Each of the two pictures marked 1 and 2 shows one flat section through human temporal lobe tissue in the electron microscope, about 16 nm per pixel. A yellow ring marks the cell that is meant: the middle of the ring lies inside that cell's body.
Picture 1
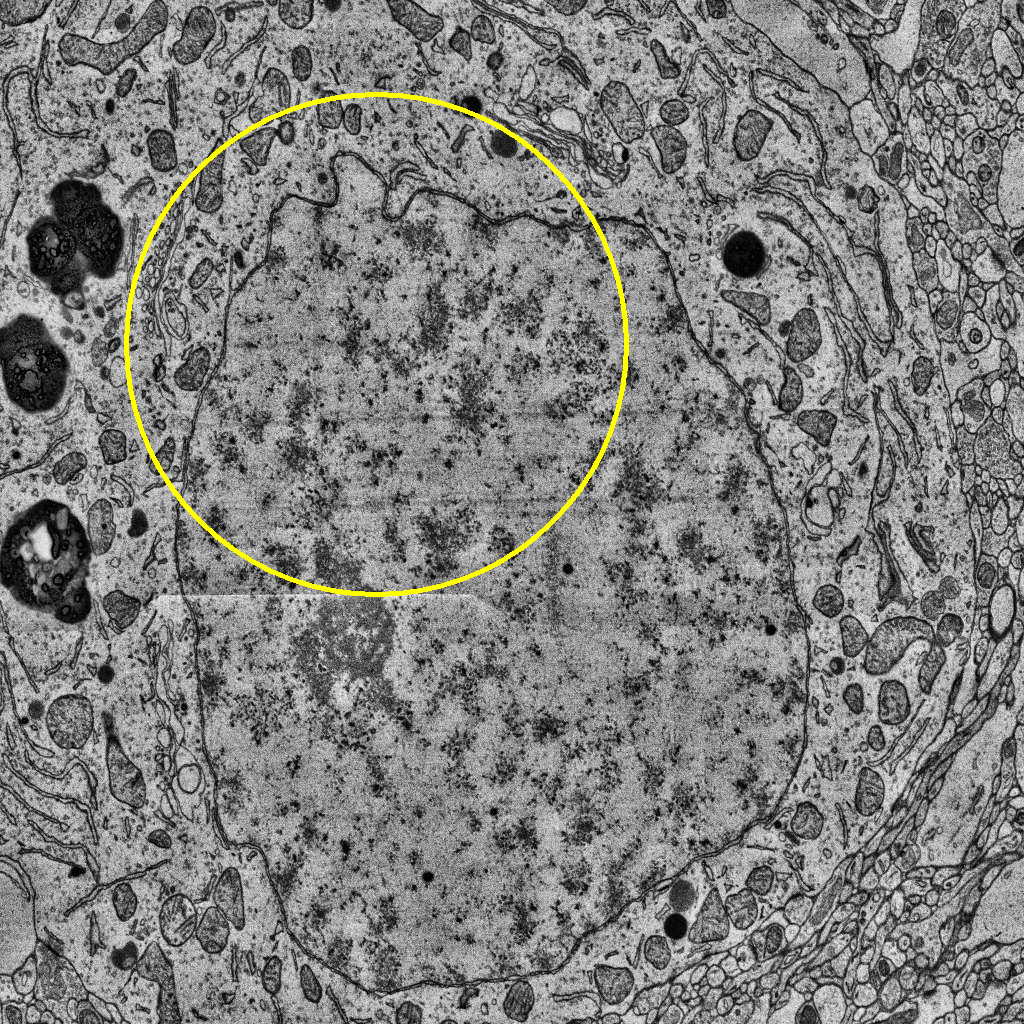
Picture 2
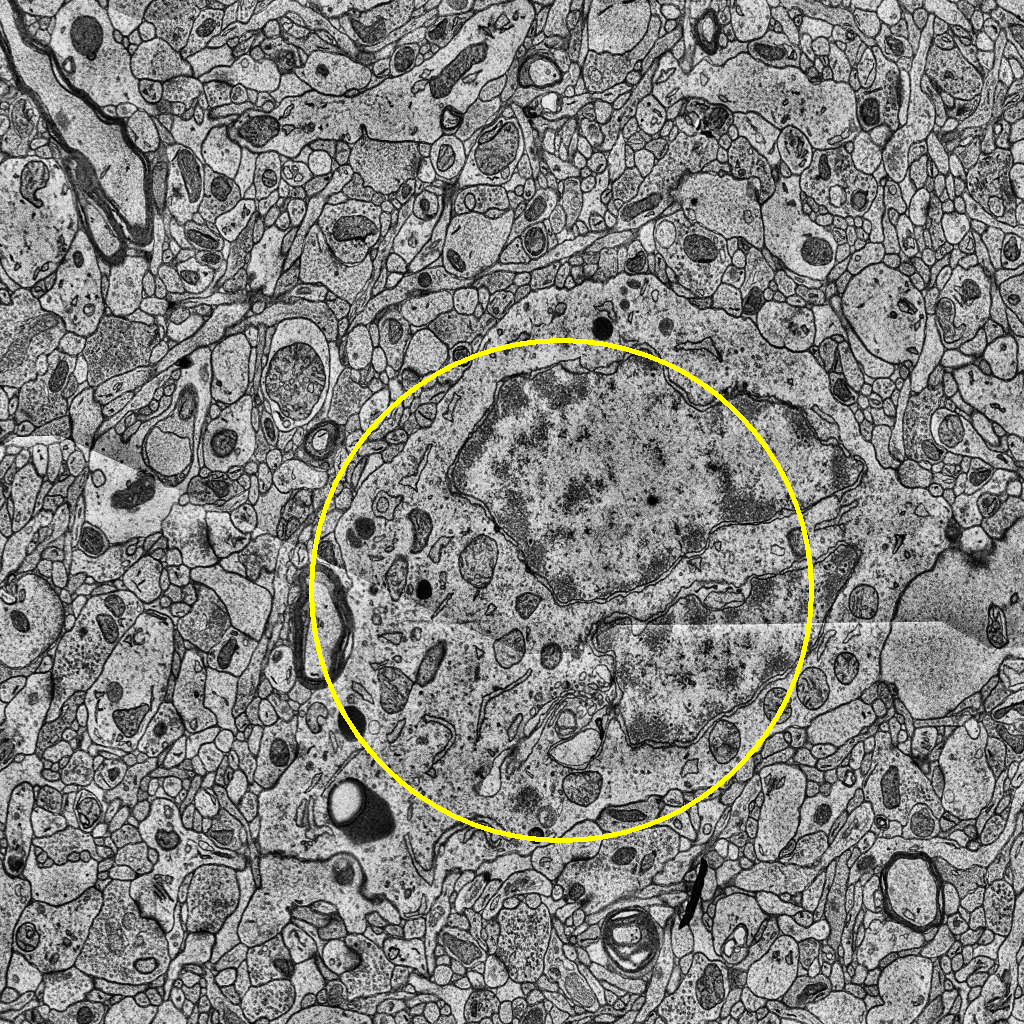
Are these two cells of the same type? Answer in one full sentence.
Yes, they are the same type: both are interneurons.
